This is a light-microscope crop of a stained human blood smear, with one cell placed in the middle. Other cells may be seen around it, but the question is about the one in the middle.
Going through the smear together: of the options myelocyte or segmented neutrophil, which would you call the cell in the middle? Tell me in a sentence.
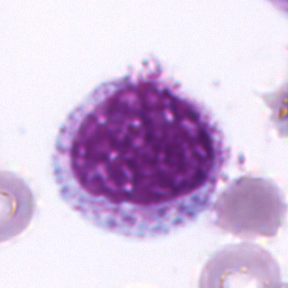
The central cell, amid any neighbouring cells, is a myelocyte.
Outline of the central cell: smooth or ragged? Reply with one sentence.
An uneven margin is present, with either ragged stretches or outward projections.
